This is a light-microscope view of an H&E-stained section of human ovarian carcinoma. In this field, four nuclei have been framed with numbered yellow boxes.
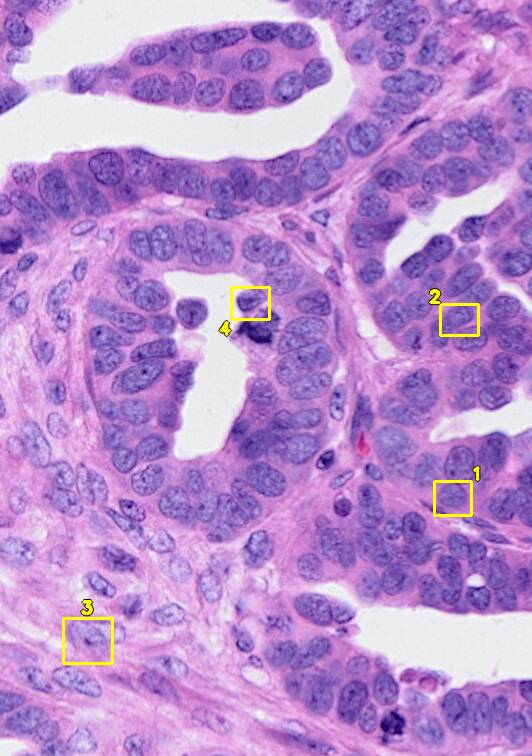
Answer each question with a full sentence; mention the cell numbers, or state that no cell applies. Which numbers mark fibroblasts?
Cell 3 is a fibroblast, and this holds for no other numbered cell.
